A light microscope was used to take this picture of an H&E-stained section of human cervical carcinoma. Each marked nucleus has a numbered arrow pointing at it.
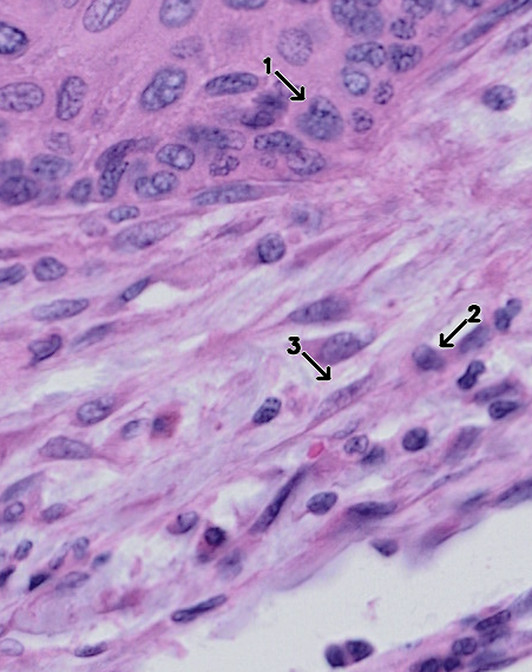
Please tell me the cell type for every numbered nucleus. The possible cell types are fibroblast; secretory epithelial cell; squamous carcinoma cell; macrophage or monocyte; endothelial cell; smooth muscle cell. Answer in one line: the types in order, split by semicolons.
squamous carcinoma cell; macrophage or monocyte; fibroblast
